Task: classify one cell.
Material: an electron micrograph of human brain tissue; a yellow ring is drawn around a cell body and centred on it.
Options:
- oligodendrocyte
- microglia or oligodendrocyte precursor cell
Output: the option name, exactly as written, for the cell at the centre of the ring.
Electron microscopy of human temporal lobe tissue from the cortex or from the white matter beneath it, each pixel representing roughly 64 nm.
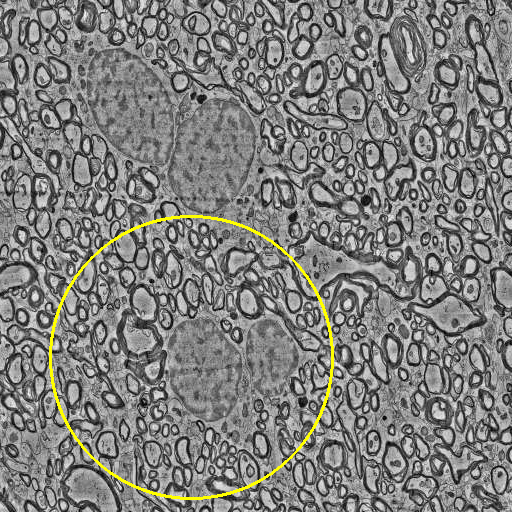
oligodendrocyte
